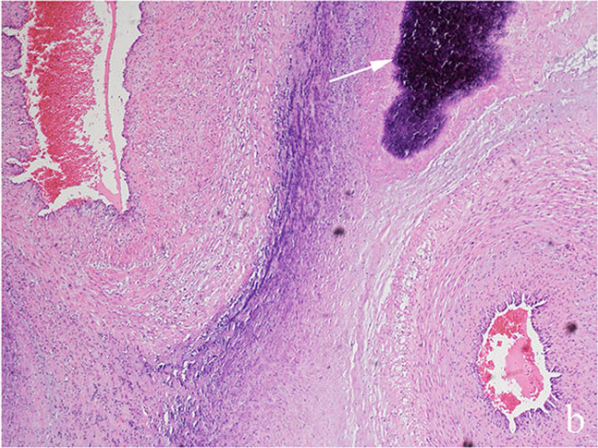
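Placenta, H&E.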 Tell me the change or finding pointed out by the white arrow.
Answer: calcium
